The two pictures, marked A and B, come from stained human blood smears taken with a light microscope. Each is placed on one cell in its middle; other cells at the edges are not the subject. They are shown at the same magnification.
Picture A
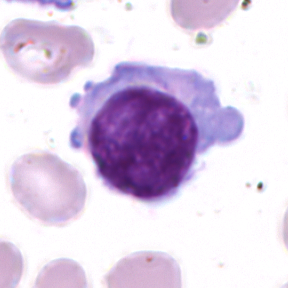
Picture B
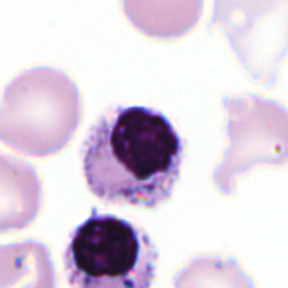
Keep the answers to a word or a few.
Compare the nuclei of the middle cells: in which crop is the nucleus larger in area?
A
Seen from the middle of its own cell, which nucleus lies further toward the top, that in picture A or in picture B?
B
